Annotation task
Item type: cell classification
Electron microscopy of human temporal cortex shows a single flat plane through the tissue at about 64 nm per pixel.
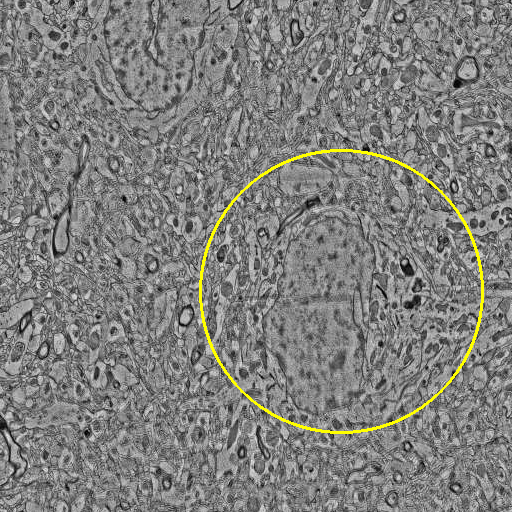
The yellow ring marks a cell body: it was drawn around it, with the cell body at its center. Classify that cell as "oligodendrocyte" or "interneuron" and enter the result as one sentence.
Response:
The ring's center falls on an interneuron.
